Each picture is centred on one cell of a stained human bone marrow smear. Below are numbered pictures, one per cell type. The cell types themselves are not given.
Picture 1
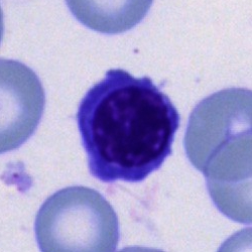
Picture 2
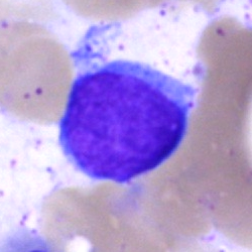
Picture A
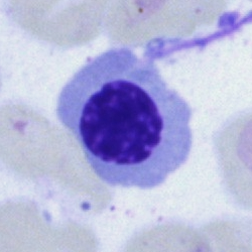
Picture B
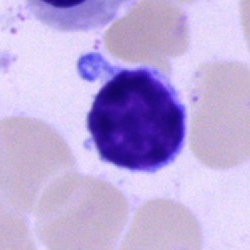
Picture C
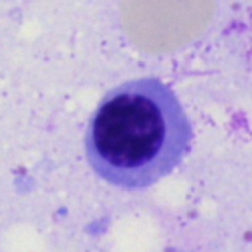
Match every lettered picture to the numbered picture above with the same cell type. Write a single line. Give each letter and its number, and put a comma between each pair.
A 1, B 2, C 1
